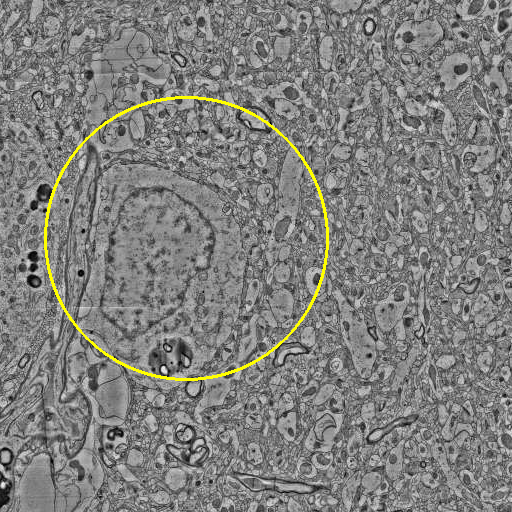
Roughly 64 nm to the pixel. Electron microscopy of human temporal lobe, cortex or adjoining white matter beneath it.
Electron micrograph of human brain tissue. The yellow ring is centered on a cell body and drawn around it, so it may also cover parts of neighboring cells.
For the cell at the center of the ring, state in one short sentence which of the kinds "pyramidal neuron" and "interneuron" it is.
This ring is centered on an interneuron.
